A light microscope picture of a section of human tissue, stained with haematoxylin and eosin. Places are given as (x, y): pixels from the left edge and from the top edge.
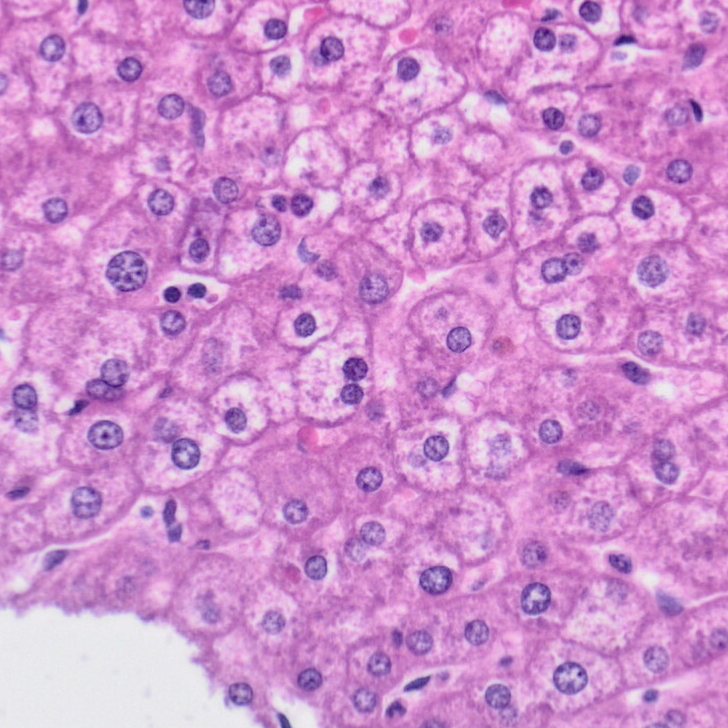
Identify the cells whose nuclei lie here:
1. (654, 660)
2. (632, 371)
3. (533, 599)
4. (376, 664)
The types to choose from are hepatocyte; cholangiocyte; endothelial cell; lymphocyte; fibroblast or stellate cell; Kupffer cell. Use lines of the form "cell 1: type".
cell 1: hepatocyte
cell 2: Kupffer cell
cell 3: hepatocyte
cell 4: hepatocyte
